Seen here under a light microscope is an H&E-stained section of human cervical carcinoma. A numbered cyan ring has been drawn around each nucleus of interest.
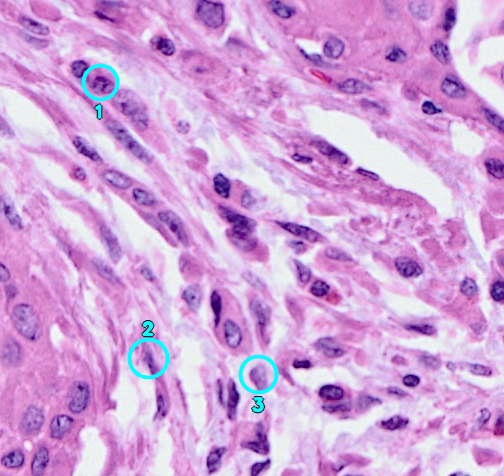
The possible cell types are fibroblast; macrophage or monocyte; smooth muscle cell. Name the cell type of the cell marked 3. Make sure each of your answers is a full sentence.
It is as a fibroblast that the cell numbered 3 is identified.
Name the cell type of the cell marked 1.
Cell 1 of the marked set is a macrophage or monocyte.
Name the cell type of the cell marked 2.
The cell tagged with 2 in this tissue section is a fibroblast.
